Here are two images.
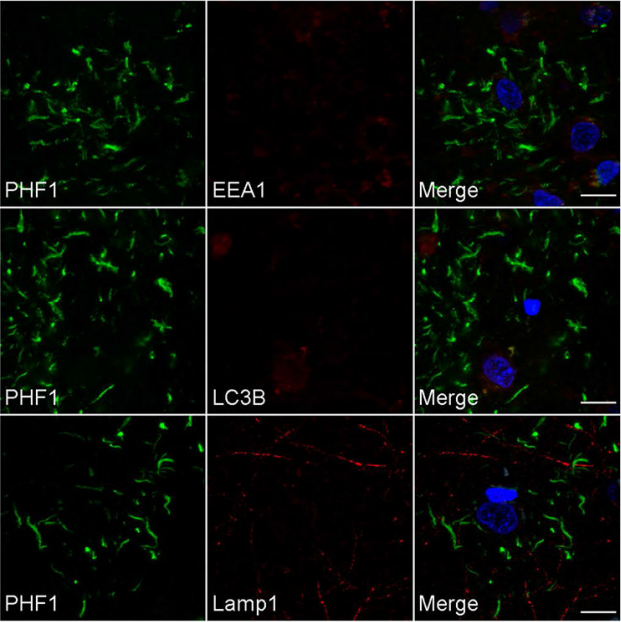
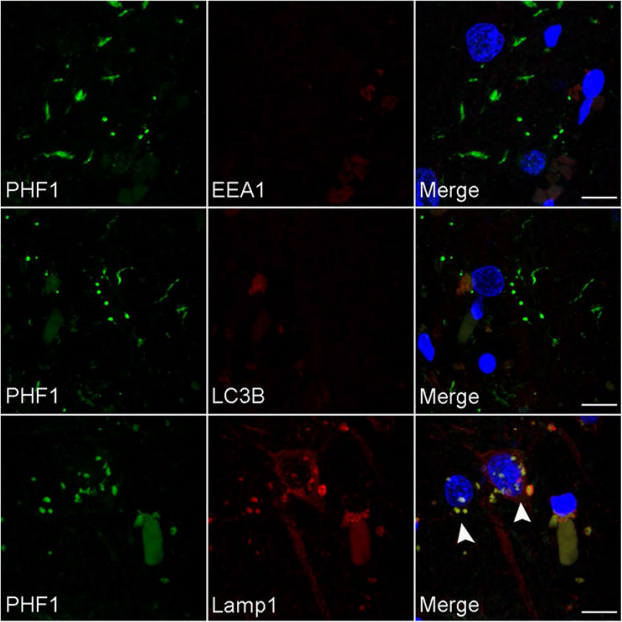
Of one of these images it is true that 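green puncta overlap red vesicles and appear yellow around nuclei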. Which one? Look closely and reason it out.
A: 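Second image: bottom merged image shows yellow puncta clustered beside blue nuclei. First image: green threads and red dotted lines stay separate with no yellow. So: the second image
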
